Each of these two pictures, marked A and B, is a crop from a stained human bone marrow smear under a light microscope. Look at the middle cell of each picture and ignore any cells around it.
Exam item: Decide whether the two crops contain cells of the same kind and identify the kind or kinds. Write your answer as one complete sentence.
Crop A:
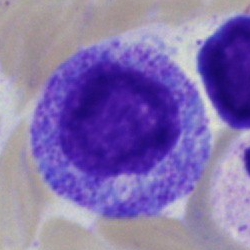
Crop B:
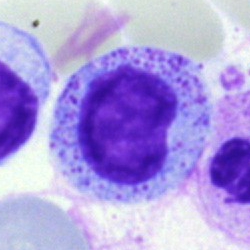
Yes, both crops have myelocytes as their central cells.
